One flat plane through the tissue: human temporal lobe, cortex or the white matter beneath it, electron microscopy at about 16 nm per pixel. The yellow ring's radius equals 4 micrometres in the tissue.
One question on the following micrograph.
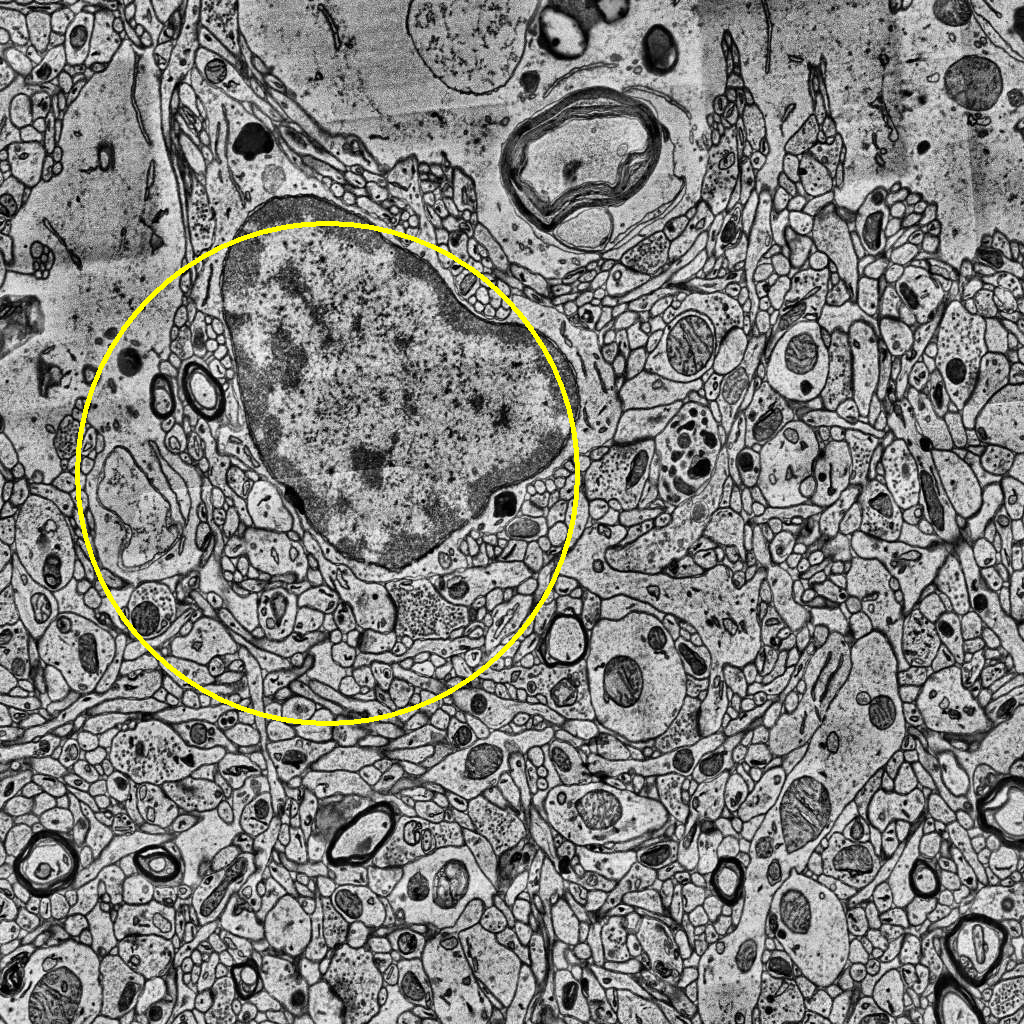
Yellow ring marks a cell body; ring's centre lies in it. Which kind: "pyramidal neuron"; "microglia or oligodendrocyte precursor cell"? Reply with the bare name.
microglia or oligodendrocyte precursor cell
